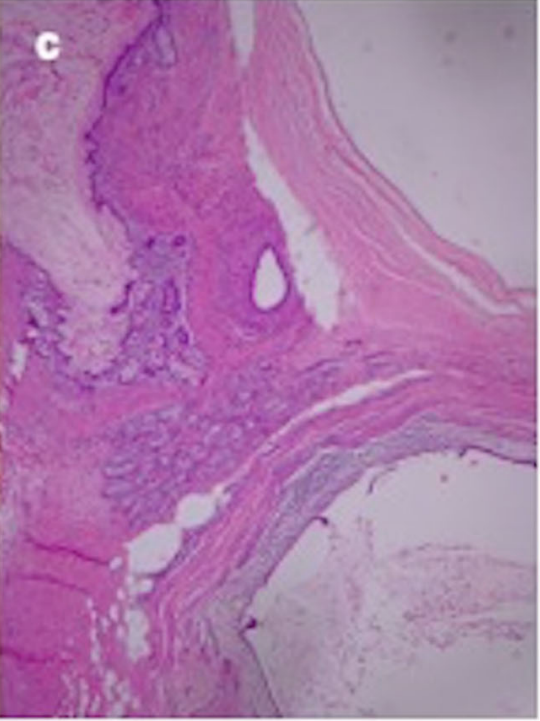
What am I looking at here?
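Low-power view of a cystic tumour made of several mature tissue types lying side by side. Large clear cystic spaces are bounded by pink fibrous and muscular walls, with layered bands of spindle-shaped tissue running along them. Darker purple epithelial linings line parts of the cysts, and a cluster of small glandular structures and a small round lumen lie within the pink stroma. No sheets of primitive-looking small blue cells are evident.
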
